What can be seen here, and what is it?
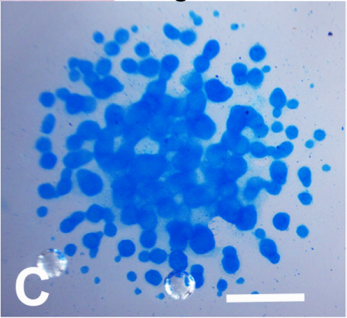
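The nodules vary in size and some run together near the centre of the culture, while toward the edge they lie more scattered. Between them are pale, almost unstained areas where no cartilage matrix has taken up the blue dye. The contrast between intensely blue nodules and clear spaces gives the culture a spotted appearance.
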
